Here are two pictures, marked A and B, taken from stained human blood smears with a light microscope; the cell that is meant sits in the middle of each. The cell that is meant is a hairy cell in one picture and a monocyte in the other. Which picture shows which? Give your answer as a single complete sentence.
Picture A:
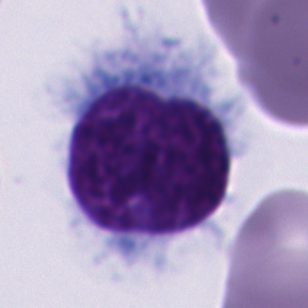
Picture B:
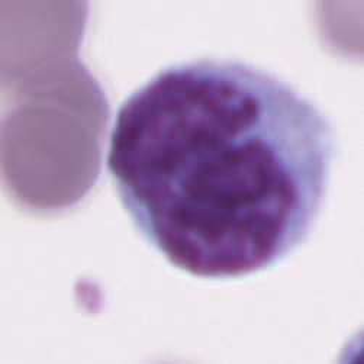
It is picture A that shows a hairy cell, and picture B that shows a monocyte.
